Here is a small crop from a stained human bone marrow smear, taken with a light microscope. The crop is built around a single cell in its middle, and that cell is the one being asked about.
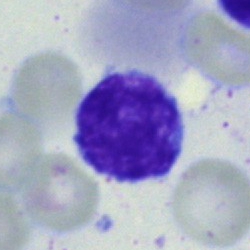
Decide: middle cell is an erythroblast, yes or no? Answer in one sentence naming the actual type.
No, that would be a lymphocyte, not an erythroblast, for the cell at the centre.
